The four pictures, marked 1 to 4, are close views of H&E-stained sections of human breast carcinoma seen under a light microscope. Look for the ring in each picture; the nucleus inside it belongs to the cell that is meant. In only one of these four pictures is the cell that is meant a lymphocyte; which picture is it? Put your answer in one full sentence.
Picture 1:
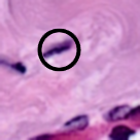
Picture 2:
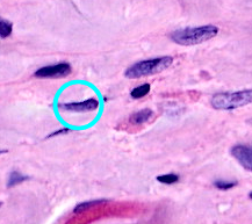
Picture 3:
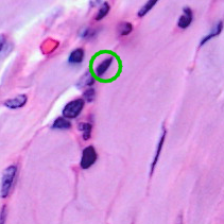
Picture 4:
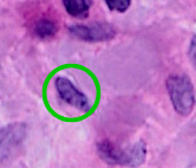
Picture 3 is the one that shows the lymphocyte.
